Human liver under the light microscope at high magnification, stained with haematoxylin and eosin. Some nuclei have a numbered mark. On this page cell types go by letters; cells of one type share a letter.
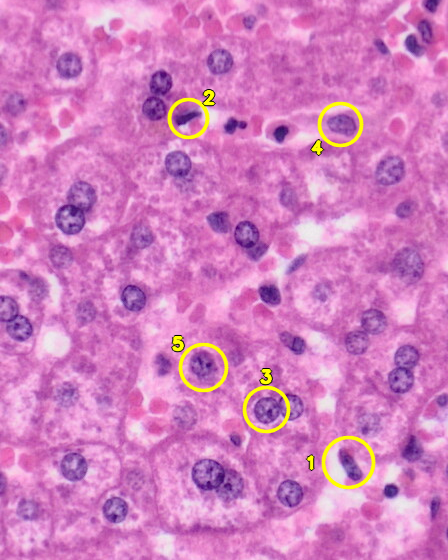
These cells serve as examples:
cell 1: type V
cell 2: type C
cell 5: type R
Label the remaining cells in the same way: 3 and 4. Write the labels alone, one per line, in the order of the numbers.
type R
type V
